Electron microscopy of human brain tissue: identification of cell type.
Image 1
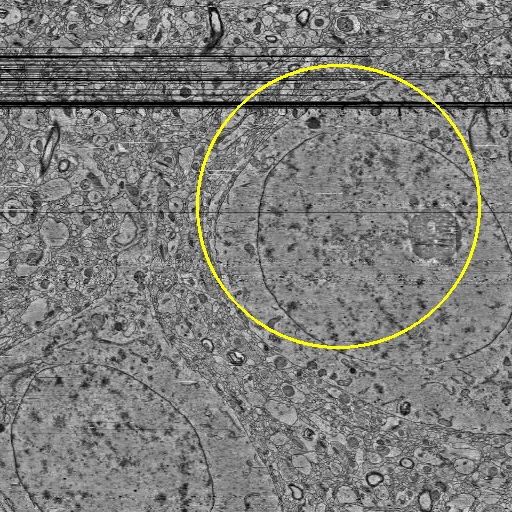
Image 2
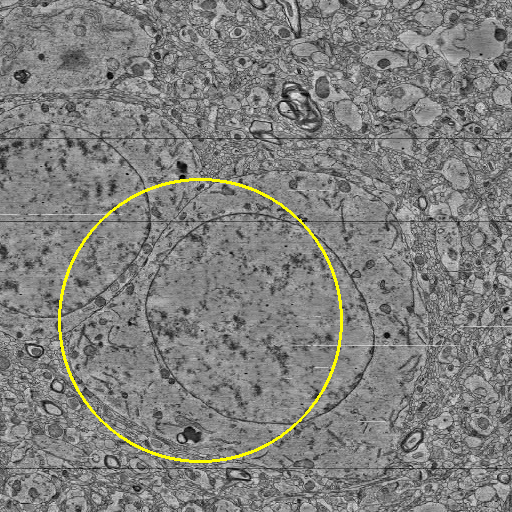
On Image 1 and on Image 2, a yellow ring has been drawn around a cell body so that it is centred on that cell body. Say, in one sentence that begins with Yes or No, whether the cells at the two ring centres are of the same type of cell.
Yes, both cells are the same type of cell.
